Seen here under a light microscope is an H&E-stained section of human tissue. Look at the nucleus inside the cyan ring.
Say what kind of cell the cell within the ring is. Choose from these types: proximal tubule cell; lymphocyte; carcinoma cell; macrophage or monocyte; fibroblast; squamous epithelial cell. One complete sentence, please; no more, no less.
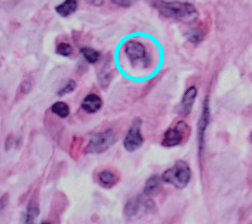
In this section, the cell within the ring is a macrophage or monocyte.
